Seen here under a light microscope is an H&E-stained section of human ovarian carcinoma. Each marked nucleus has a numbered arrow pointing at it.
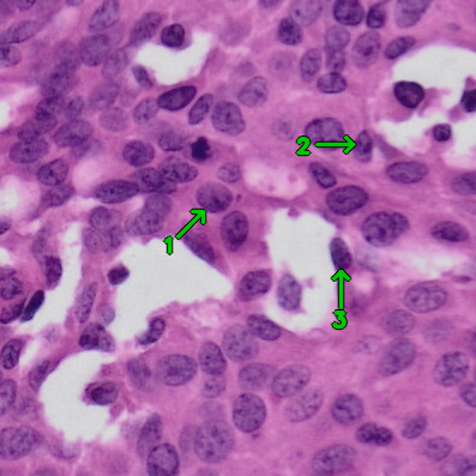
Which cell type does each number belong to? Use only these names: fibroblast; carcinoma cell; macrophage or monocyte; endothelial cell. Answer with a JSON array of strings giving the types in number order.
["carcinoma cell", "macrophage or monocyte", "carcinoma cell"]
